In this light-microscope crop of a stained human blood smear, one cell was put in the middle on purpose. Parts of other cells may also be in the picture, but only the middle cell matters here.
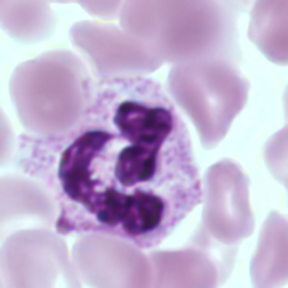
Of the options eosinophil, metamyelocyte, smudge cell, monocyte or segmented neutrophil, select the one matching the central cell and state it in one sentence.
The cell around which this crop is centred is a segmented neutrophil.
